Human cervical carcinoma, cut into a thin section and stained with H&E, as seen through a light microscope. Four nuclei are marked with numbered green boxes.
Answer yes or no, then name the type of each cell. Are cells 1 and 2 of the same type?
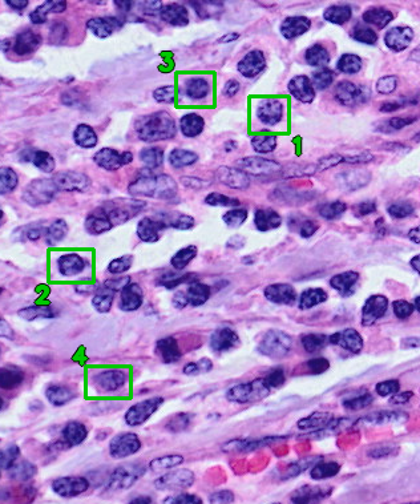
Yes, cells 1 and 2 both count as lymphocytes.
